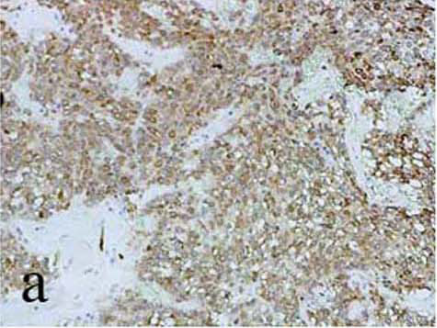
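A densely cellular tumour is seen at low magnification, made of sheets of closely packed small round cells. Their cytoplasm is diffusely stained brown across nearly the whole field. The sheets are broken by pale, irregular unstained spaces and strands of stroma.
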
